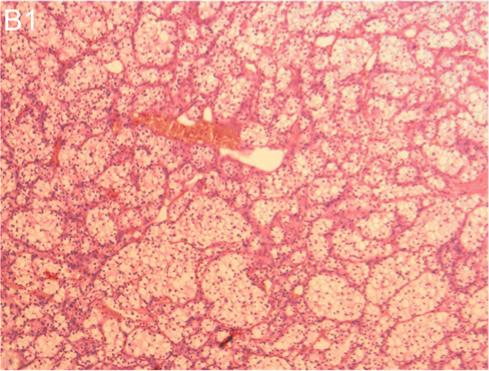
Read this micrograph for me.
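A fine, branching pink-purple network of thin partitions runs between the nests and wraps each one, so the field looks like a lacework. Within the nests the small dark nuclei are scattered evenly through the pale cytoplasm. A larger vessel packed with orange-red blood cells crosses the centre, next to an empty space. Smaller vessels with red cells lie within the partitions. No colloid-filled thyroid follicles are seen.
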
